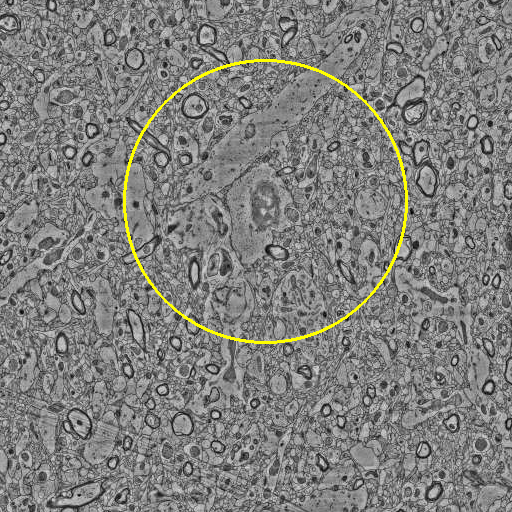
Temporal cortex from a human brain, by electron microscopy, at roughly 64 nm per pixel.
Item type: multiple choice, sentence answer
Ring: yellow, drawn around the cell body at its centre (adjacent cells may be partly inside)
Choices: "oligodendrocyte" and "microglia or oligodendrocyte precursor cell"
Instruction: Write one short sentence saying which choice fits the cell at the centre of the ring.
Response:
This ring is drawn around a microglial cell or oligodendrocyte precursor cell.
